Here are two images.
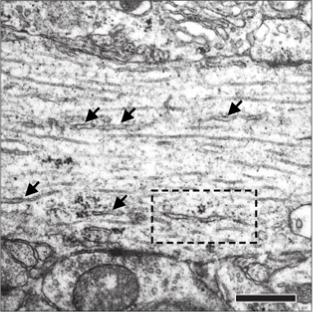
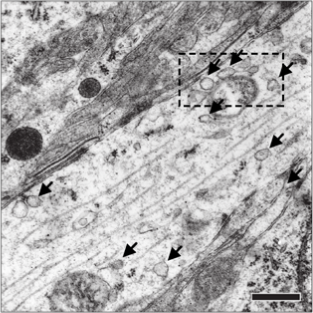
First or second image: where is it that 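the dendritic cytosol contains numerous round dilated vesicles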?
the second image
